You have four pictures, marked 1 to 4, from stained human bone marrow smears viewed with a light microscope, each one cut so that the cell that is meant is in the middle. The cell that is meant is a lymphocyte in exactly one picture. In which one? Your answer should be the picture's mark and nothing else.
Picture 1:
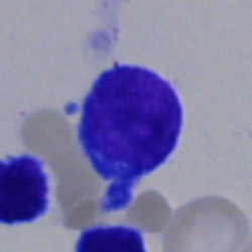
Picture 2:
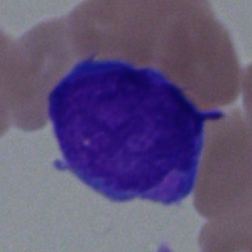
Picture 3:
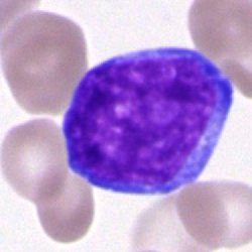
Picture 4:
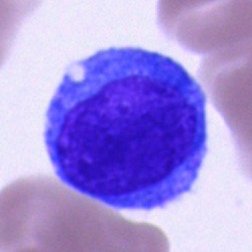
1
